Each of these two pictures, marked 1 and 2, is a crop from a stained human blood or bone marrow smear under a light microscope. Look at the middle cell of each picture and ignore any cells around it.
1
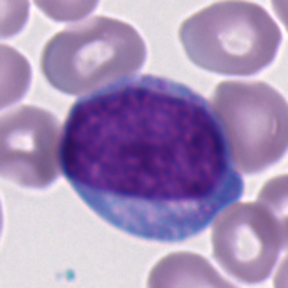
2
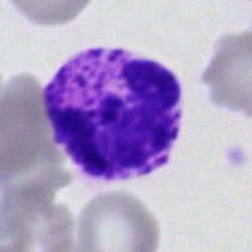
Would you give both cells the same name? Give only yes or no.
no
